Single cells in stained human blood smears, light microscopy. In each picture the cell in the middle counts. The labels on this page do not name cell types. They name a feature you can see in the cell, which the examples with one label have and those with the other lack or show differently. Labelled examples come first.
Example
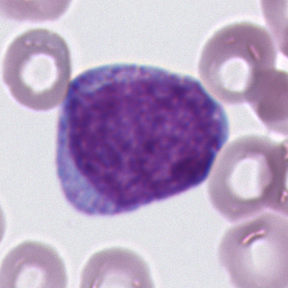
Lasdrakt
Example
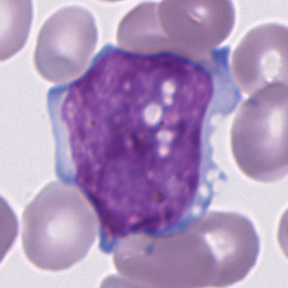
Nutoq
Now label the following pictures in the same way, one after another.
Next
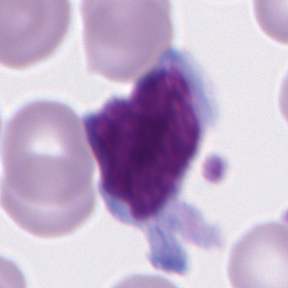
Nutoq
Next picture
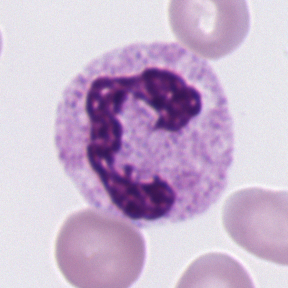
Lasdrakt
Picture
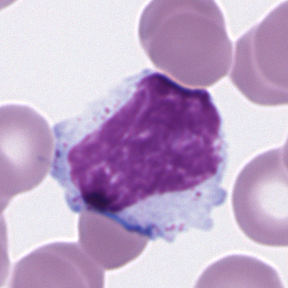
Nutoq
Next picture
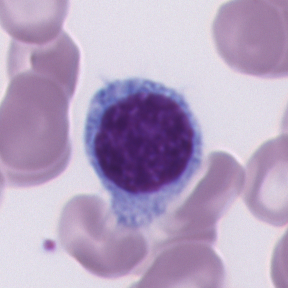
Nutoq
